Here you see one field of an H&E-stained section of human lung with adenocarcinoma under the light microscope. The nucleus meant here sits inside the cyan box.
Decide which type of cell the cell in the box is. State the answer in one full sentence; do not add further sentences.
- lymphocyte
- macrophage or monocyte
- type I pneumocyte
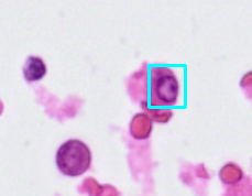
For the purposes of cell typing, the cell in the box is categorized as a macrophage or monocyte.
